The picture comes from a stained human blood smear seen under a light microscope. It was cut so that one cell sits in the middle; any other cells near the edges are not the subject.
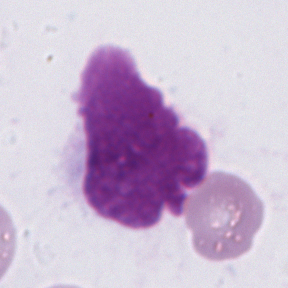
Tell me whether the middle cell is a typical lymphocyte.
no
